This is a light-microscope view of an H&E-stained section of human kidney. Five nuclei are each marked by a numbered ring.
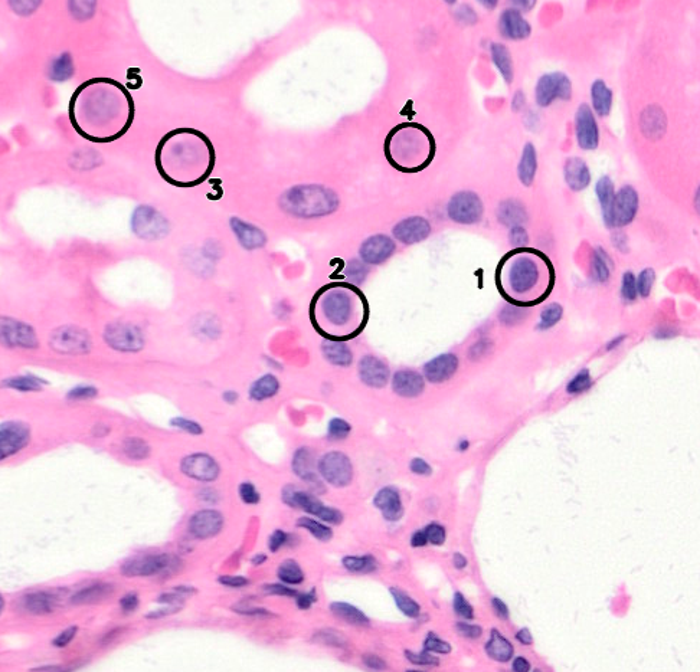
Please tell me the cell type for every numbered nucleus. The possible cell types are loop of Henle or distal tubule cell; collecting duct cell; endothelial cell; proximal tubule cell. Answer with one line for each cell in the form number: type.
1: collecting duct cell
2: collecting duct cell
3: proximal tubule cell
4: proximal tubule cell
5: proximal tubule cell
